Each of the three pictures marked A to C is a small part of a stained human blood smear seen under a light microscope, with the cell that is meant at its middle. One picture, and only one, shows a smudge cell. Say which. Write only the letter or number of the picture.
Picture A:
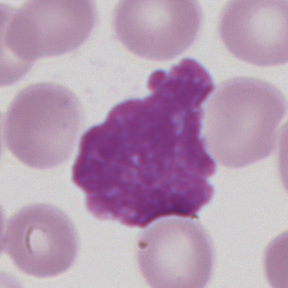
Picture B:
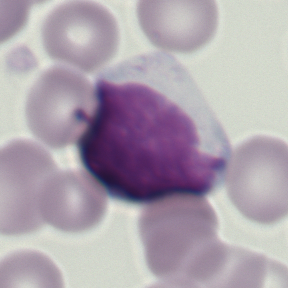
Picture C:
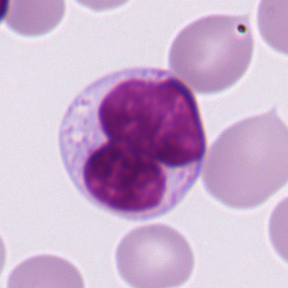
A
